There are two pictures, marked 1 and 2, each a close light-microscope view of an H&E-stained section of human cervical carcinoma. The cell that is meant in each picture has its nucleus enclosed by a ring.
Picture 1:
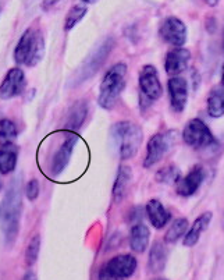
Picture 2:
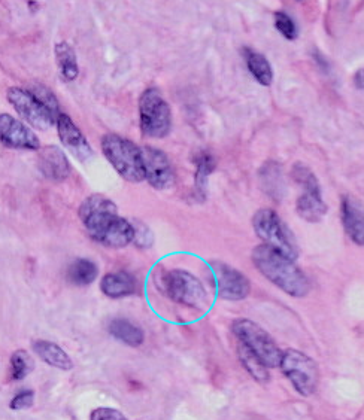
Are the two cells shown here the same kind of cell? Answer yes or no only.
yes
